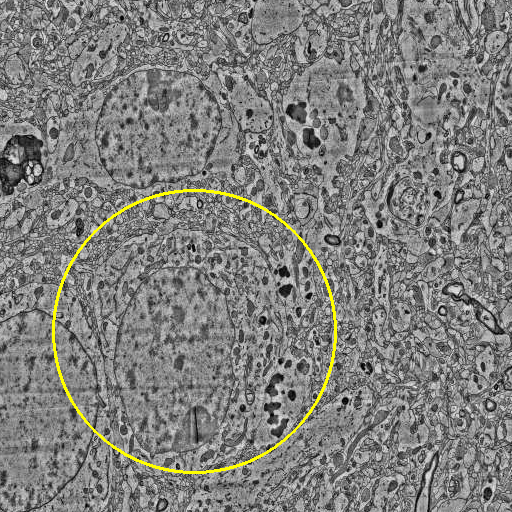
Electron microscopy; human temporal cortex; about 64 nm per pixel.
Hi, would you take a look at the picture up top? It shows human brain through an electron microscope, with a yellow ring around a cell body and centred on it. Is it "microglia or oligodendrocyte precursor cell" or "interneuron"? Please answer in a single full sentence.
The best fit for the cell in the middle of the ring is an interneuron, I reckon.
